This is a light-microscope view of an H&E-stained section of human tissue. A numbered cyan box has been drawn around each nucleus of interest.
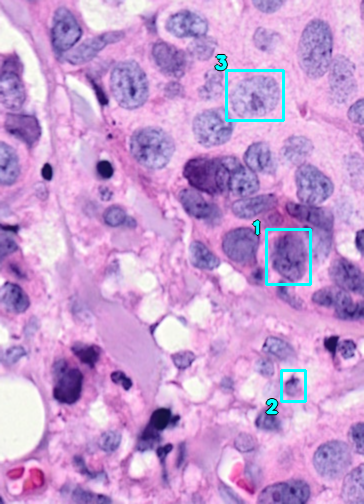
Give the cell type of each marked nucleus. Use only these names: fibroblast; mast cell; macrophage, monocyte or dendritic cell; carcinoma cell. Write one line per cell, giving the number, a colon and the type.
1: carcinoma cell
2: macrophage, monocyte or dendritic cell
3: carcinoma cell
